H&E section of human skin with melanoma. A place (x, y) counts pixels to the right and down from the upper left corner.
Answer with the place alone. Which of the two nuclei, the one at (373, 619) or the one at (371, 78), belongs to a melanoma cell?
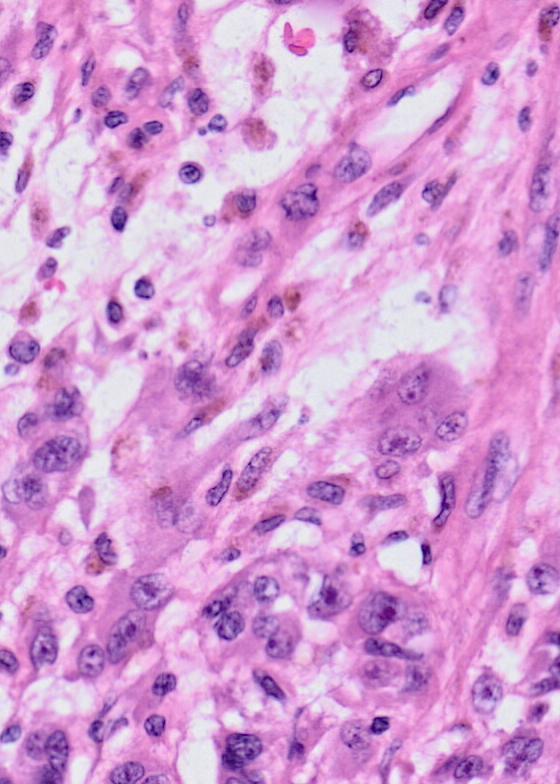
(373, 619)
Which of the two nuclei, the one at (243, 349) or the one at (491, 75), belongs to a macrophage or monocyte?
(243, 349)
